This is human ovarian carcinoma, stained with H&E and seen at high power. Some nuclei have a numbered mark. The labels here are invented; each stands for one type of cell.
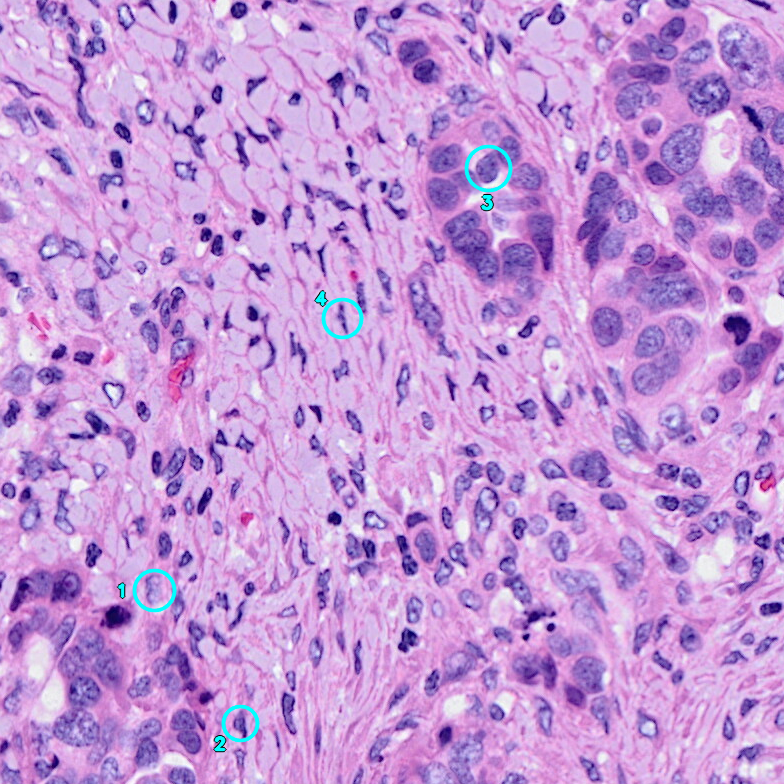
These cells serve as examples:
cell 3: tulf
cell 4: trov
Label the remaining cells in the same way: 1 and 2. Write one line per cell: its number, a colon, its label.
1: trov
2: trov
